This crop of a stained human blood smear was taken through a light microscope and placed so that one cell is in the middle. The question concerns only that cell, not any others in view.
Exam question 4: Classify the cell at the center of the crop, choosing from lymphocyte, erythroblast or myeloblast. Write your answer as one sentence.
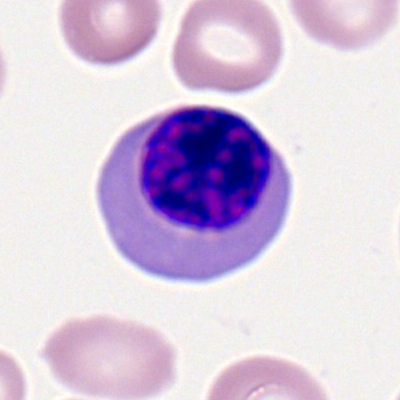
The single cell at the center of the crop is an erythroblast.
